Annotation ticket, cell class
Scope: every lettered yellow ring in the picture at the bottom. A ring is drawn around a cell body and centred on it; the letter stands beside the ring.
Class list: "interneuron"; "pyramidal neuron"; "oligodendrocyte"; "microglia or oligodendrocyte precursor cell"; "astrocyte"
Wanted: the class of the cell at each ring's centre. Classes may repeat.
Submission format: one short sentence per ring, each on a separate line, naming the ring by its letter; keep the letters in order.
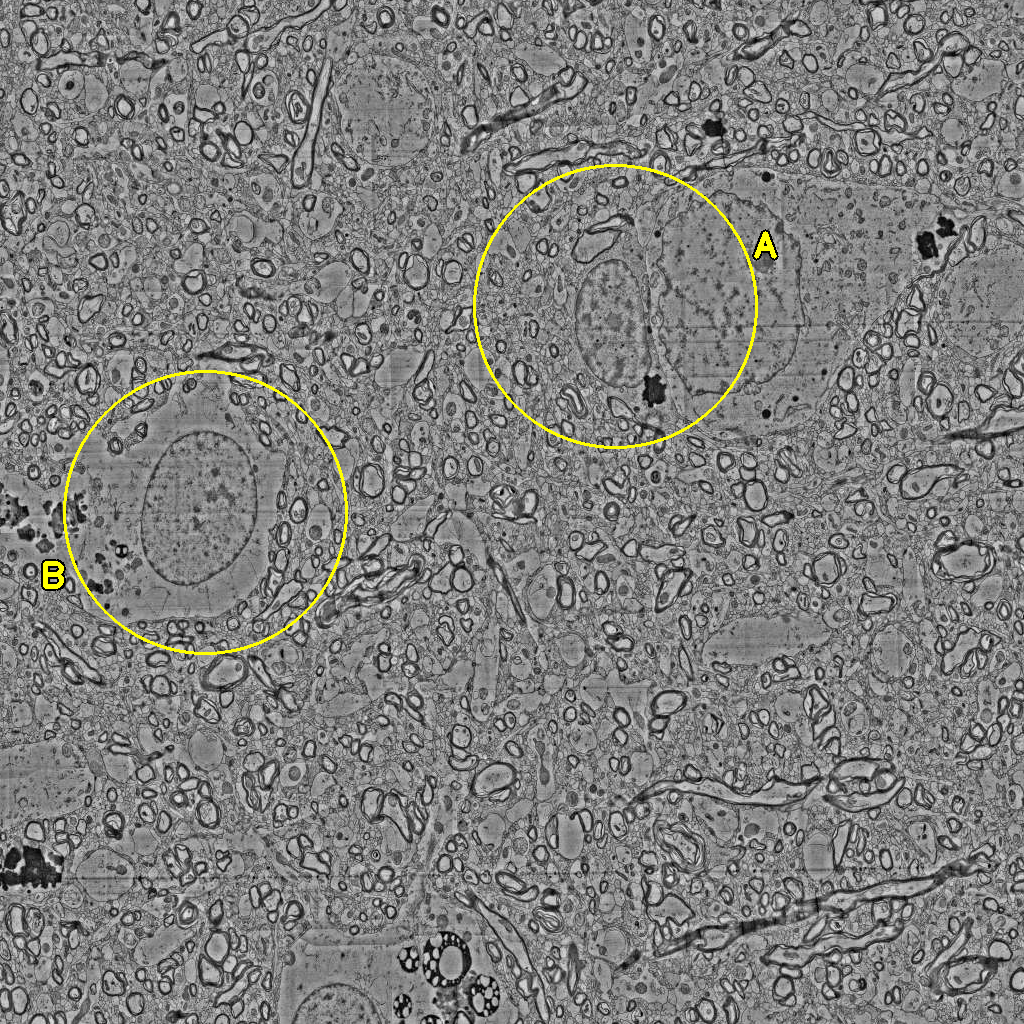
The centre of ring A is occupied by an oligodendrocyte.
The centre of ring B is occupied by an astrocyte.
